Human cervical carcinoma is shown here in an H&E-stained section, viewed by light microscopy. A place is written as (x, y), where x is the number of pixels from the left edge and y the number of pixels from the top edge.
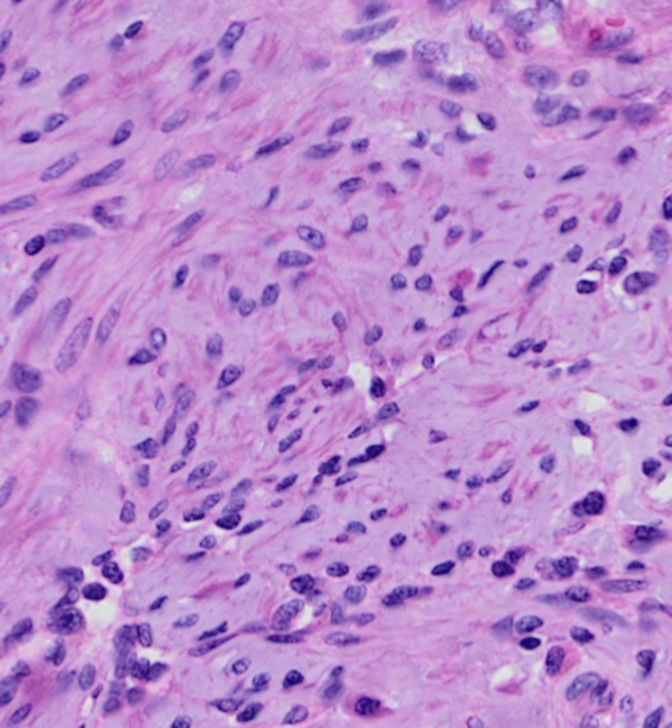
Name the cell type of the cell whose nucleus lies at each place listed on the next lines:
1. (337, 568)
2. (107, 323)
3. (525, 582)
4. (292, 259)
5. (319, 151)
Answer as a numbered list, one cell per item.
1. lymphocyte
2. smooth muscle cell
3. lymphocyte
4. smooth muscle cell
5. smooth muscle cell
